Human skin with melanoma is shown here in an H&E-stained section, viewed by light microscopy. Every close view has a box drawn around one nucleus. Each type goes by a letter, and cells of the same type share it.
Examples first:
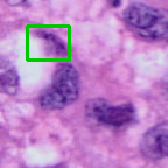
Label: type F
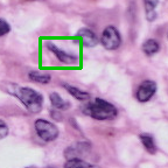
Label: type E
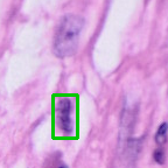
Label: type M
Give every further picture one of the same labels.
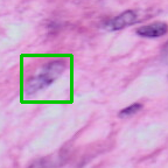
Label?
type E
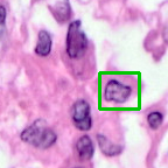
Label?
type M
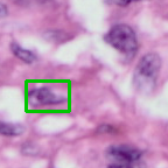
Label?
type F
